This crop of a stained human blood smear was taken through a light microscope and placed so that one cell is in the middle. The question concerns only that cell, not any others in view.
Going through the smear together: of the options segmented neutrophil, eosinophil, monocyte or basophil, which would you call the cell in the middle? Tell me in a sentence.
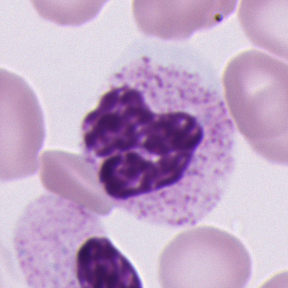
The cell of interest, in the center, is a segmented neutrophil.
